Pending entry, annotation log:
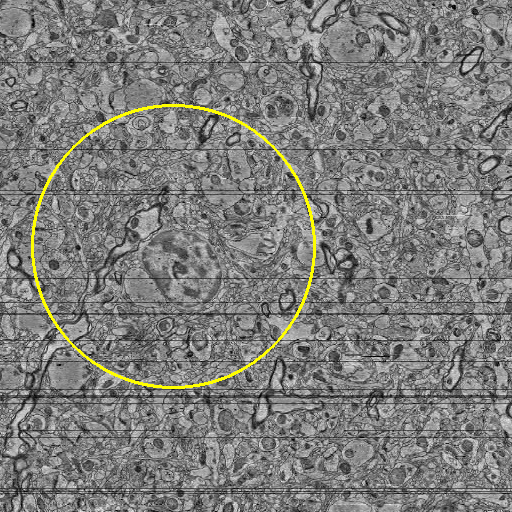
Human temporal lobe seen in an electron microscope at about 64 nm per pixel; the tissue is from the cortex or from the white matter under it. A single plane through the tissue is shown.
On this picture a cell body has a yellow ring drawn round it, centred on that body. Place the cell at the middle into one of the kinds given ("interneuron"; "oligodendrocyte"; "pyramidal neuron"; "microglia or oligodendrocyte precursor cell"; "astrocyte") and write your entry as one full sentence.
The cell body at the middle of the yellow ring belongs to an oligodendrocyte.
